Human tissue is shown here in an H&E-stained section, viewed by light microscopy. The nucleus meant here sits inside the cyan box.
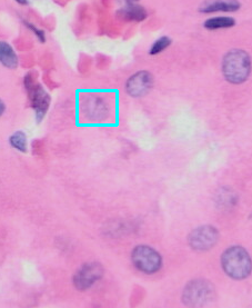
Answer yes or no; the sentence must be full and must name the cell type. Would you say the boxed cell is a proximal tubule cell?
Yes, no change needed: the boxed cell is a proximal tubule cell.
